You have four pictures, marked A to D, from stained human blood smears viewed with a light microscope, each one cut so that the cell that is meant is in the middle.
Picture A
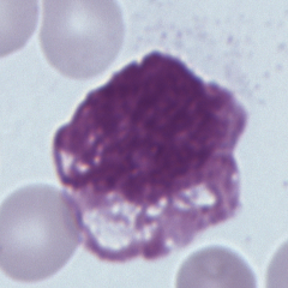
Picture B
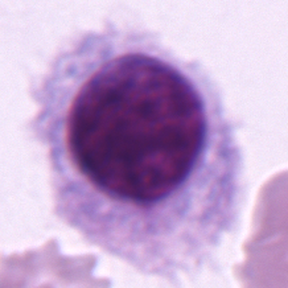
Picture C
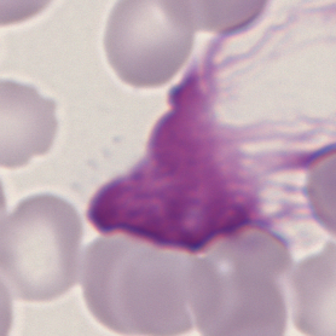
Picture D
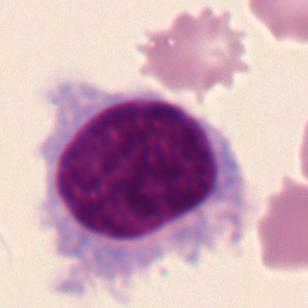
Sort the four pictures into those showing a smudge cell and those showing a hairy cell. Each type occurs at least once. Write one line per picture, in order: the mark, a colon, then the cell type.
A: smudge cell
B: hairy cell
C: smudge cell
D: hairy cell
